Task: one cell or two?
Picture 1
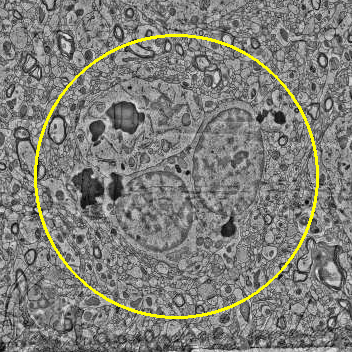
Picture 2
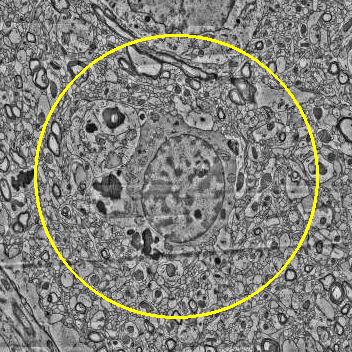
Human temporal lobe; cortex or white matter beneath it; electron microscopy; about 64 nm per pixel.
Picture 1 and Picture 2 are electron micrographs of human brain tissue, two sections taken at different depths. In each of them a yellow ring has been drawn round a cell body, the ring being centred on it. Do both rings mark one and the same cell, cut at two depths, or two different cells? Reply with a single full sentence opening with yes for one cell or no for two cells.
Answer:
Yes, both yellow rings were placed on the same cell.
